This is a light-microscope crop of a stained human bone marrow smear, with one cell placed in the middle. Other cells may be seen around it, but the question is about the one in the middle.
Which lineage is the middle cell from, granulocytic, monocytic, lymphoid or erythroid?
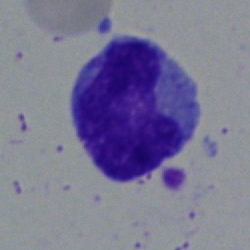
monocytic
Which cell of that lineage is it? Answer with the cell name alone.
monocyte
